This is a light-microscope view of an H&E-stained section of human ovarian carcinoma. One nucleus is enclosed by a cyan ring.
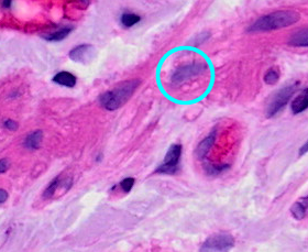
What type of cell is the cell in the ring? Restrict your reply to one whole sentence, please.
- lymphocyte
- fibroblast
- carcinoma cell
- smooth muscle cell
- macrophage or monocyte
In the tissue under study, the cell in the ring is a smooth muscle cell.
